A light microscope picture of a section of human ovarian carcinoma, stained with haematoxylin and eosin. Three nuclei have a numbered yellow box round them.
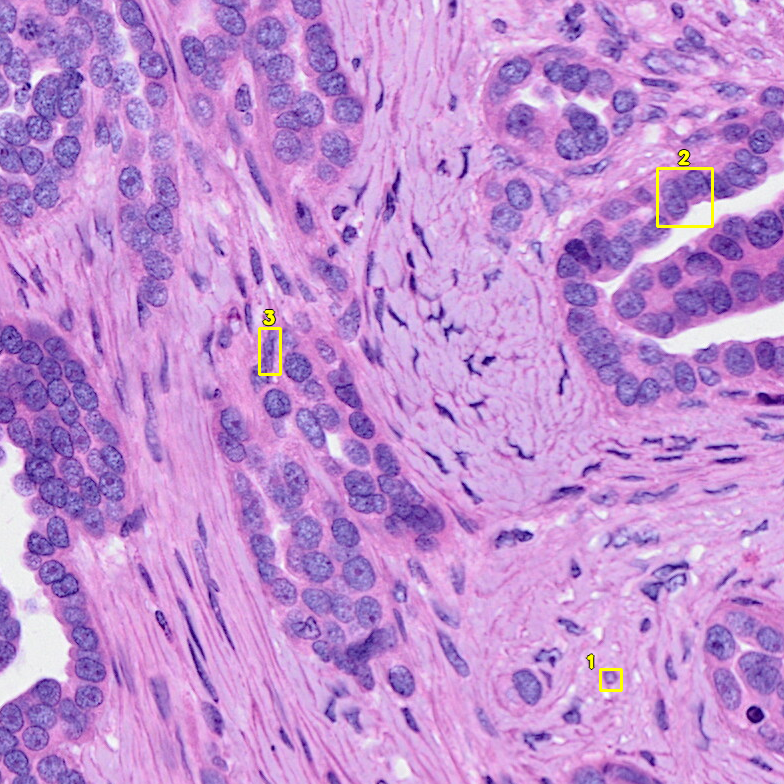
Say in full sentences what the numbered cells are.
Cell 1 is a fibroblast, cell 2 is a carcinoma cell and cell 3 is a fibroblast.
